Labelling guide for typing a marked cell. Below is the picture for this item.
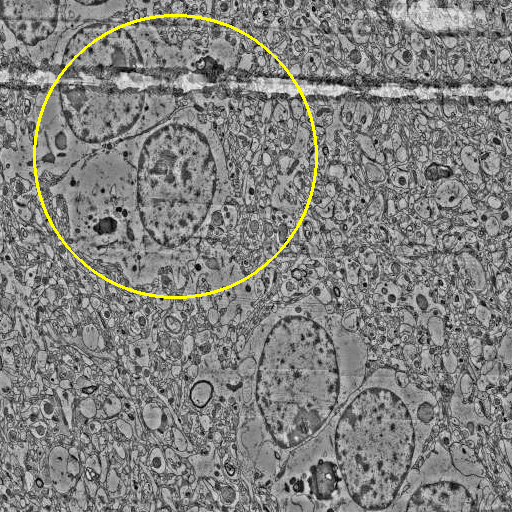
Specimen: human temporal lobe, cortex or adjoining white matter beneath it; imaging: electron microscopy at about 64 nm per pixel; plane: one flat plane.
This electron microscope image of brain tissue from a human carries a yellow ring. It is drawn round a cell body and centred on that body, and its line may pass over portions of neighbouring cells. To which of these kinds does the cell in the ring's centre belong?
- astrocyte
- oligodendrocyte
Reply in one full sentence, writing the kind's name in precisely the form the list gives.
Here we have an astrocyte at the centre of the yellow ring in the picture.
